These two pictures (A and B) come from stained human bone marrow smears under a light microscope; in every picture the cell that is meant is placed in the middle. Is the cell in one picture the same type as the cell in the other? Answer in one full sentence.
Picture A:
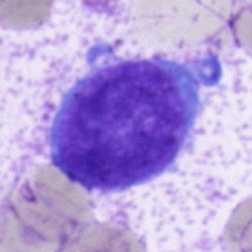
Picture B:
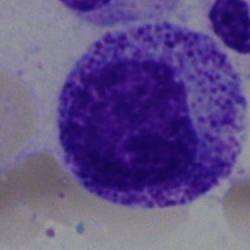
No; the cell in picture A is a blast, while the one in picture B is a promyelocyte.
